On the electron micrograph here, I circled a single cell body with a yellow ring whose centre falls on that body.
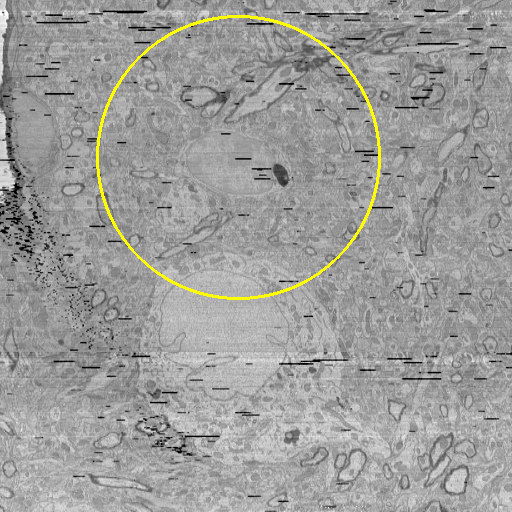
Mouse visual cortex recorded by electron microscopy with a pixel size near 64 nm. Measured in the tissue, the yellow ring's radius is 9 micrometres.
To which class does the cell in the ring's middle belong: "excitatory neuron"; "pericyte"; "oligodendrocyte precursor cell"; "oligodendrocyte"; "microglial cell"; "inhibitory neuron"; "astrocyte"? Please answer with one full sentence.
In this picture, the cell body circled at the ring's centre belongs to a microglial cell.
